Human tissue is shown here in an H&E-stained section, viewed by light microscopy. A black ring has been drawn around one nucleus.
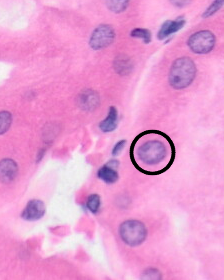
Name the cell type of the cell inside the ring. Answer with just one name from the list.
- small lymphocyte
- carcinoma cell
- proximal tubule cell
proximal tubule cell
